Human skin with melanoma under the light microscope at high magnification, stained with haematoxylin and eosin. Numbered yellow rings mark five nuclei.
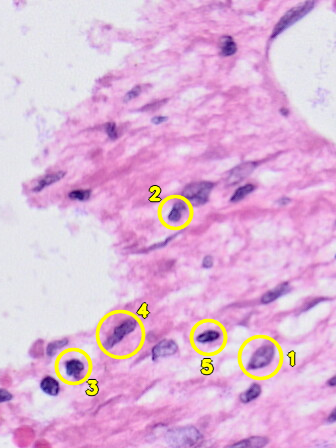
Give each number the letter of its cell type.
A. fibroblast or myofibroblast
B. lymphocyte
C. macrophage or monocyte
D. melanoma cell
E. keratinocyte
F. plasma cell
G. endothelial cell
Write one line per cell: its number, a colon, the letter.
1: A
2: B
3: B
4: C
5: B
